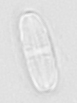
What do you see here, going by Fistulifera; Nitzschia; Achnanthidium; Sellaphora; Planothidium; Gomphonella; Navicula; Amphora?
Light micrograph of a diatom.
I see Sellaphora.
